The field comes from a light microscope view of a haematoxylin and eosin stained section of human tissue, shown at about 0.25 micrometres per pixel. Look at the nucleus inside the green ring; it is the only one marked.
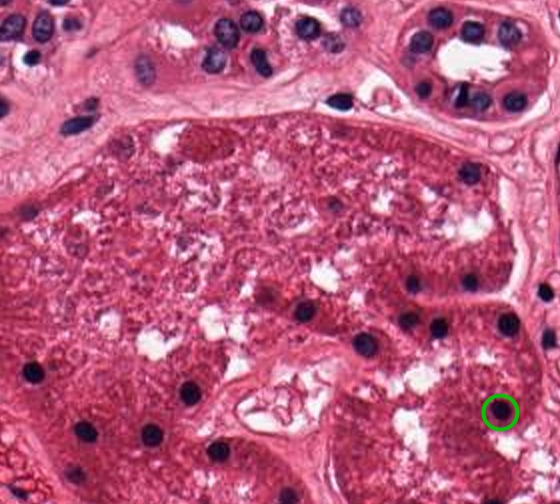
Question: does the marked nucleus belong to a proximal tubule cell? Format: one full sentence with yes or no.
Yes, the nucleus bearing the mark is that of a proximal tubule cell.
